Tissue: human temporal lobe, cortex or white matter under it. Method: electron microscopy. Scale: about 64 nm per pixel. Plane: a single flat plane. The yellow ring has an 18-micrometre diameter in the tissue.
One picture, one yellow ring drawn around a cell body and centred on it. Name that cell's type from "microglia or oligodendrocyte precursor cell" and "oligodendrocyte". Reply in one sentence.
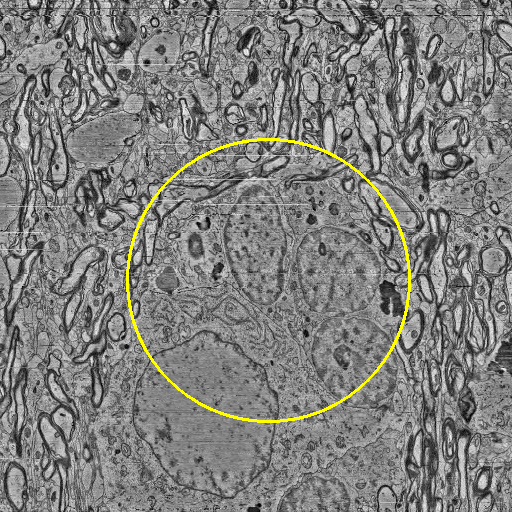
Centred in the ring is a microglial cell or oligodendrocyte precursor cell.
